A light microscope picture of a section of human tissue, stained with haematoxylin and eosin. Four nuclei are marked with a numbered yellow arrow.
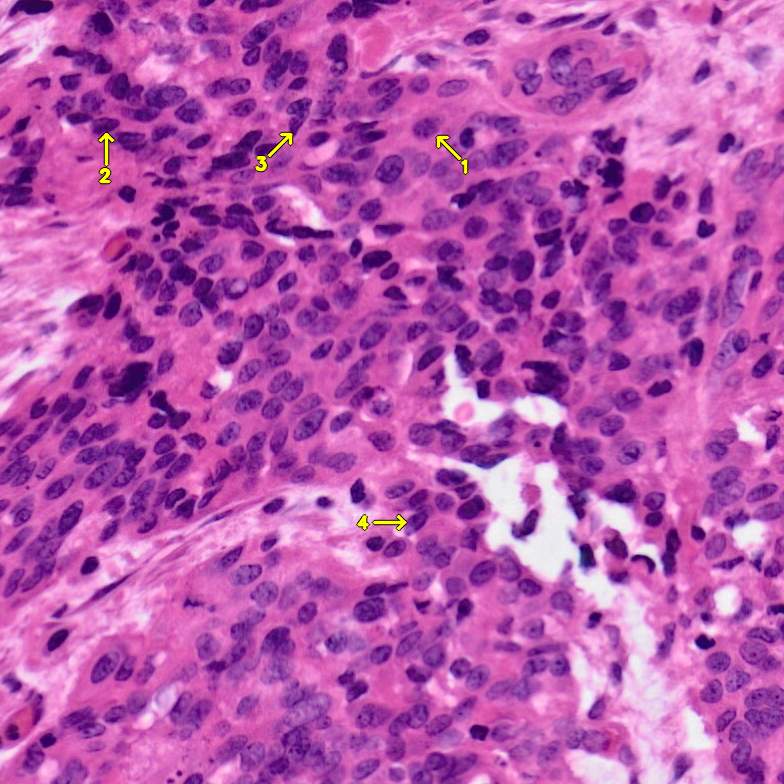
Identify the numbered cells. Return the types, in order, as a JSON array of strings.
["carcinoma cell", "carcinoma cell", "macrophage or monocyte", "carcinoma cell"]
